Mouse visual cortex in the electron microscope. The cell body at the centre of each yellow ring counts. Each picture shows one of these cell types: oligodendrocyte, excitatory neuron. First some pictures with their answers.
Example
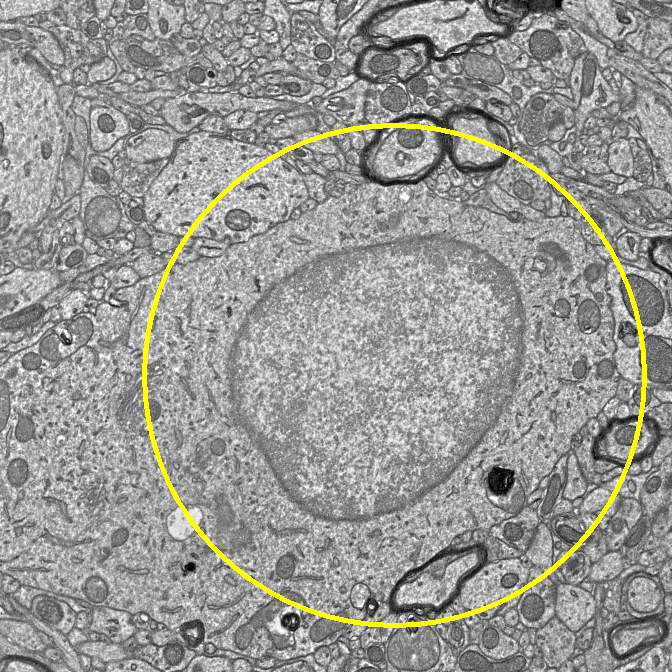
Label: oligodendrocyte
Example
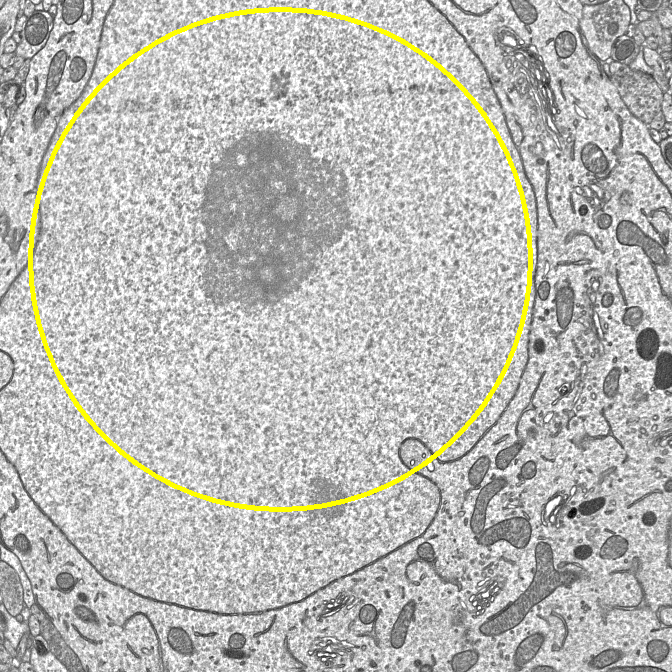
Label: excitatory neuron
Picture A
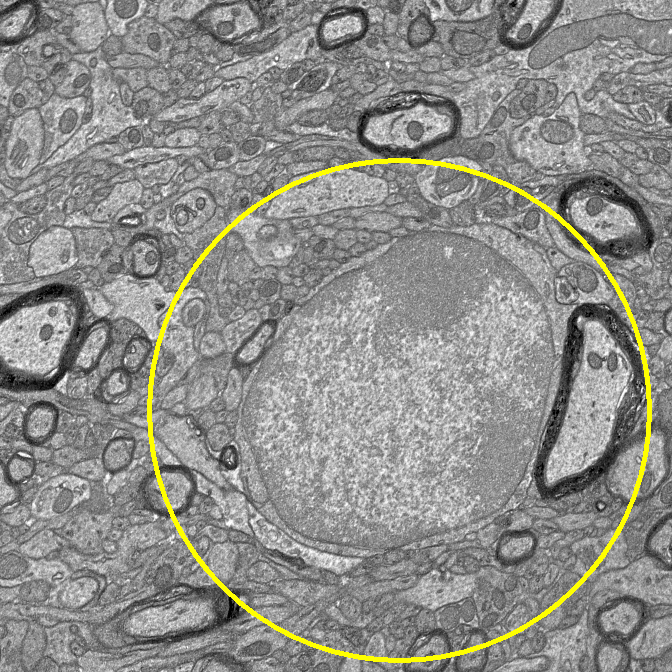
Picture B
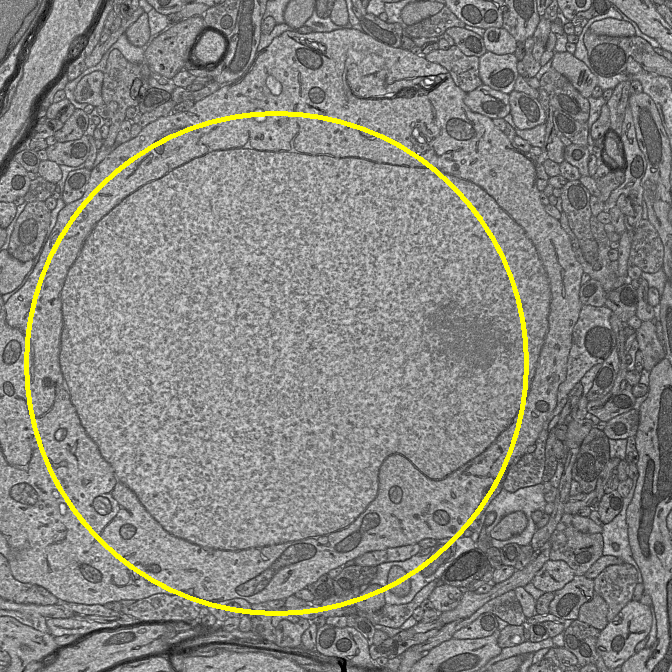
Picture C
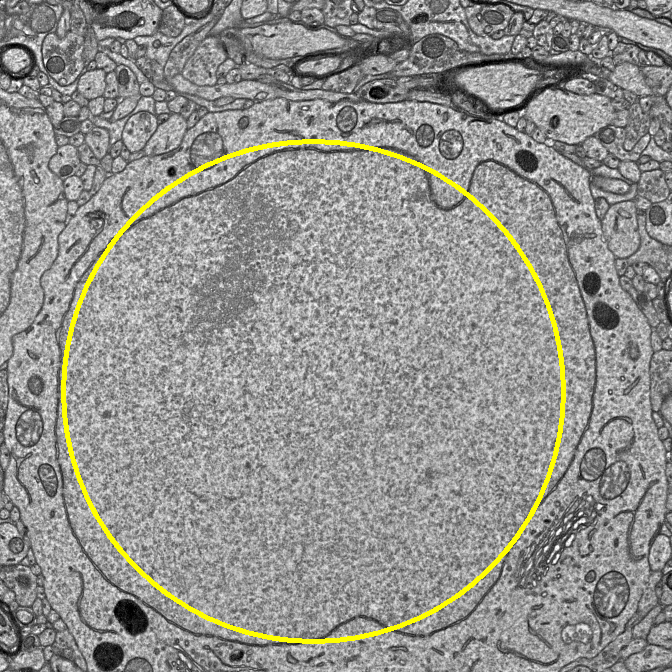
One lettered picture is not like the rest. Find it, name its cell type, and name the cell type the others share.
Picture A: oligodendrocyte. All others: excitatory neuron.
